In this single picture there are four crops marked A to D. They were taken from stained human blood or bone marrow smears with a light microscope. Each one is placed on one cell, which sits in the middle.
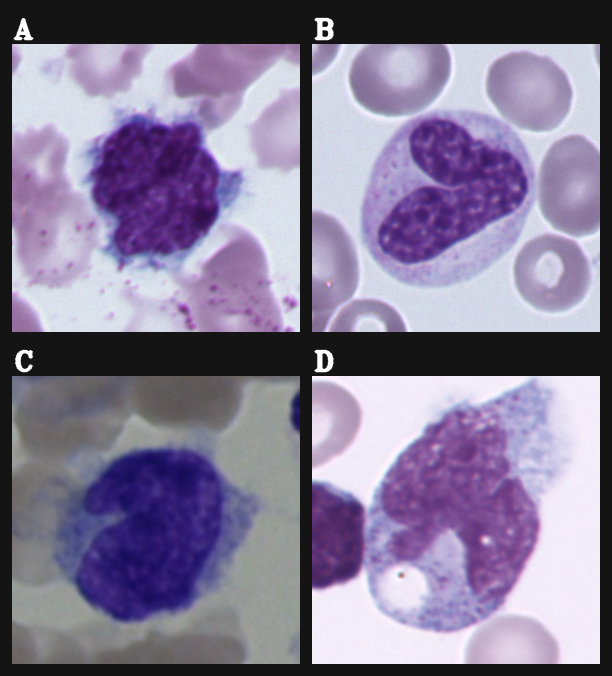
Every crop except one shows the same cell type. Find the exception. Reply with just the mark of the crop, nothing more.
B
